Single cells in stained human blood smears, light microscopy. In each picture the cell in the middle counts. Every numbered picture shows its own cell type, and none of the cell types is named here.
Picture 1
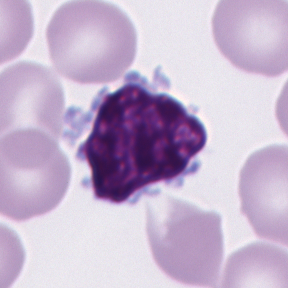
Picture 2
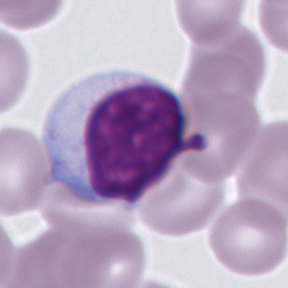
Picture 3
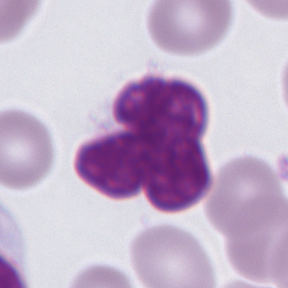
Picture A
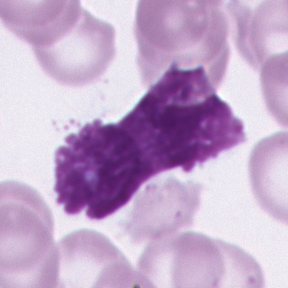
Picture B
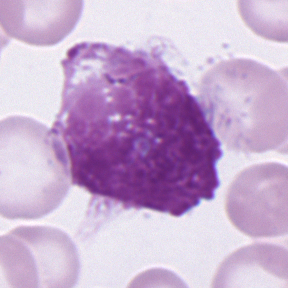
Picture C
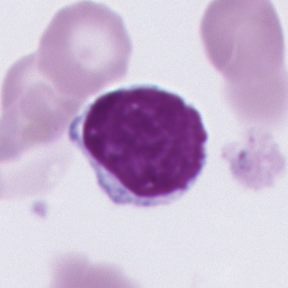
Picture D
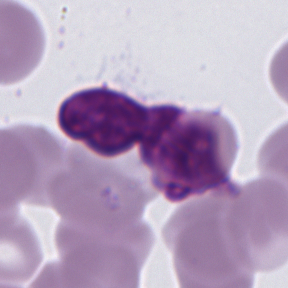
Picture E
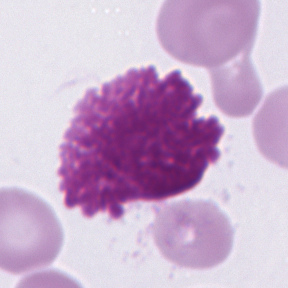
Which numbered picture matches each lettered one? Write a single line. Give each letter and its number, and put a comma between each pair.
A 3, B 3, C 1, D 3, E 3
